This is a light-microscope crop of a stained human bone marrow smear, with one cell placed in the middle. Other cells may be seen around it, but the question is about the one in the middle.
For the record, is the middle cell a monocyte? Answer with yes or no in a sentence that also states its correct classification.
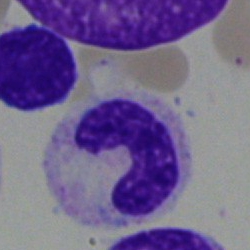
No, the centred cell is a band neutrophil, and it is not a monocyte.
